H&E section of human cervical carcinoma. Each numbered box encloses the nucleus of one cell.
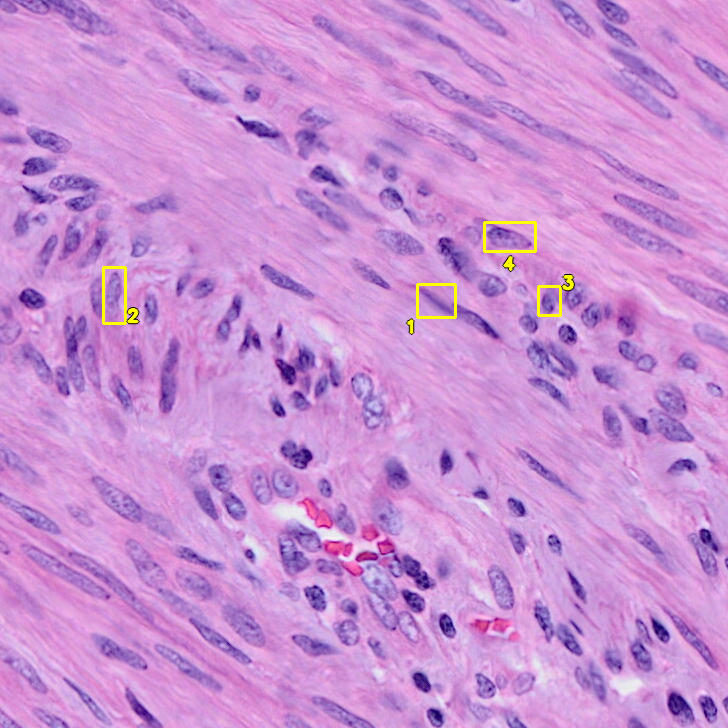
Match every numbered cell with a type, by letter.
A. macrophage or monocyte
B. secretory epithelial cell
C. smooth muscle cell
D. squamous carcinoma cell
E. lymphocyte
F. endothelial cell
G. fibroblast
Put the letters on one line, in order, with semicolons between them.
G; C; C; C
